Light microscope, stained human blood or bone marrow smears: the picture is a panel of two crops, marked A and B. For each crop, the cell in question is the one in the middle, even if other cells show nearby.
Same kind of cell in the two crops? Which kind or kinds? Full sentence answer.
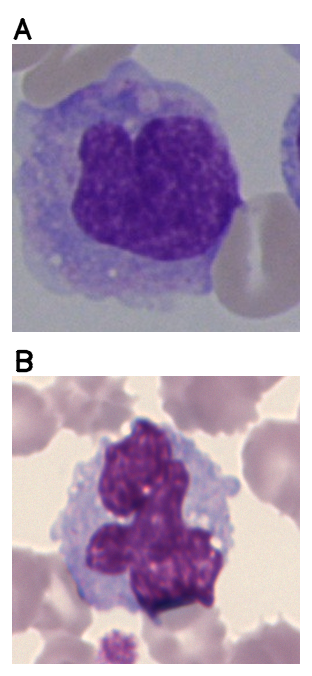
Yes, the centred cells are monocytes in both crops.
